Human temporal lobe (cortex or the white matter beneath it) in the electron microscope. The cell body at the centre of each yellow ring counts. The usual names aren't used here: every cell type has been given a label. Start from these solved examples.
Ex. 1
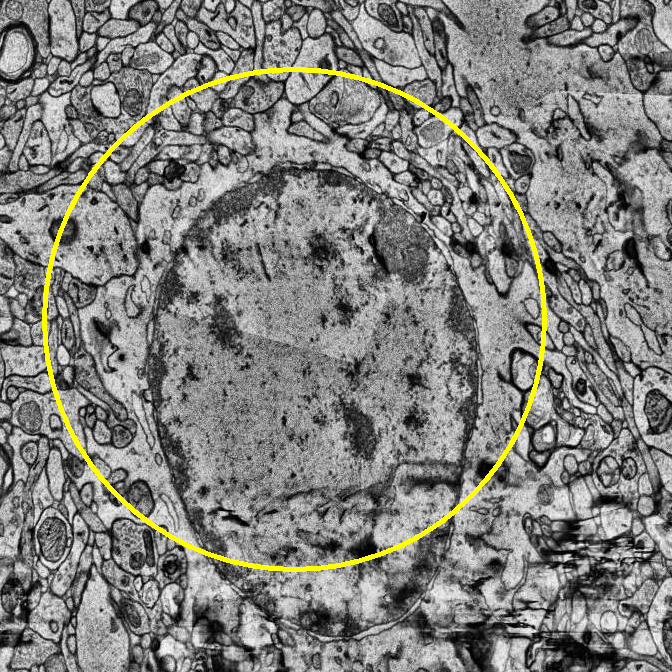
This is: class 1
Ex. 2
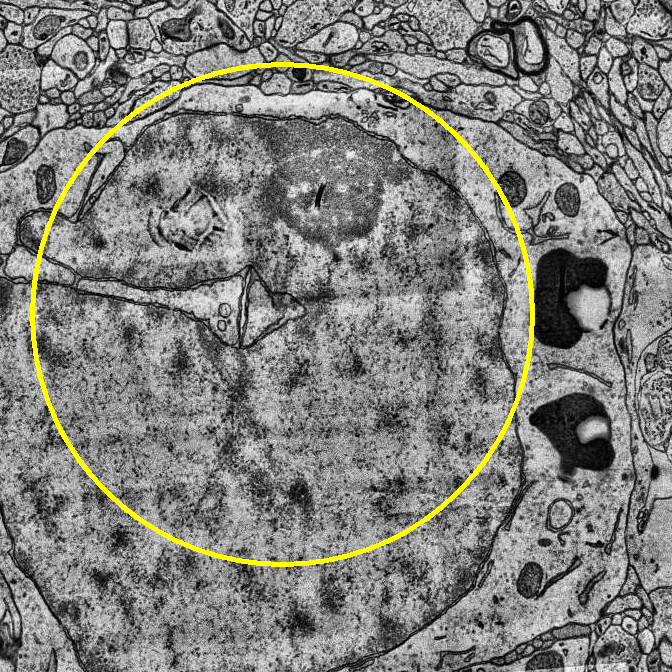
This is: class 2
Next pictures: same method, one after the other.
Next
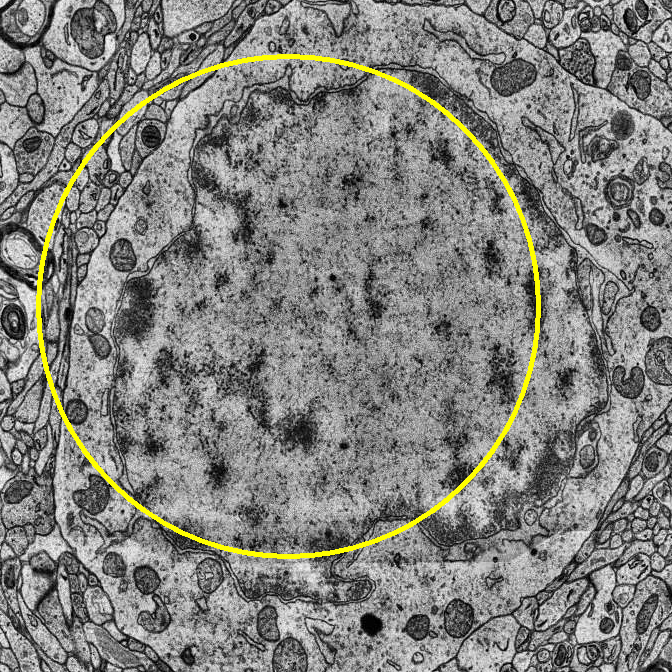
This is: class 2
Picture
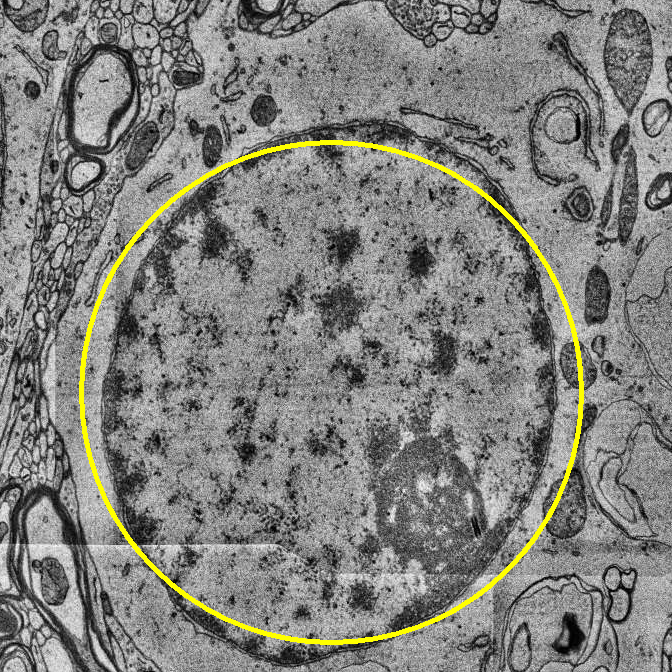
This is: class 1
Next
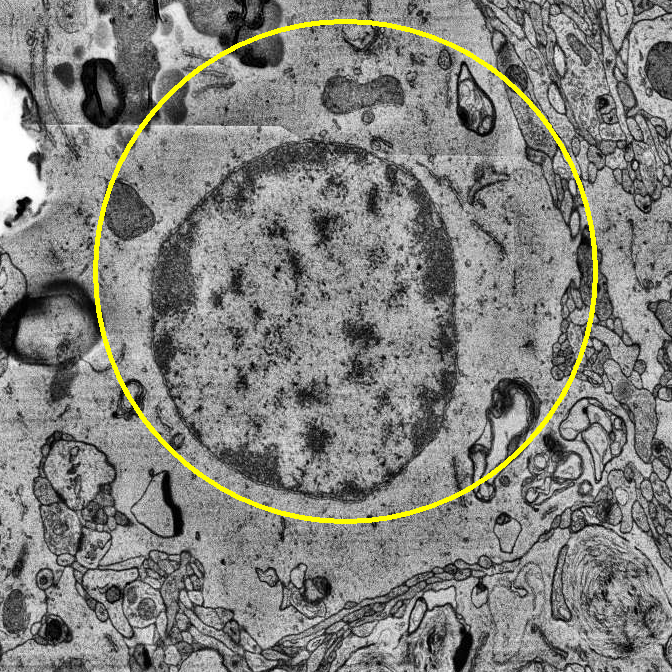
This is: class 1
